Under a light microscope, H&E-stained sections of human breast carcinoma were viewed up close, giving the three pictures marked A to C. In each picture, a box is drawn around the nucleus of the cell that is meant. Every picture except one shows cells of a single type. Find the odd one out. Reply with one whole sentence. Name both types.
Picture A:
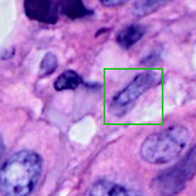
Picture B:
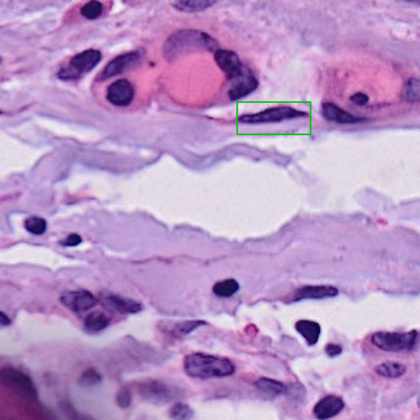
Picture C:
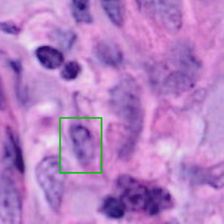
Picture B is the odd one out: it shows a fibroblast, while the others show “macrophages, monocytes or dendritic cells”.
